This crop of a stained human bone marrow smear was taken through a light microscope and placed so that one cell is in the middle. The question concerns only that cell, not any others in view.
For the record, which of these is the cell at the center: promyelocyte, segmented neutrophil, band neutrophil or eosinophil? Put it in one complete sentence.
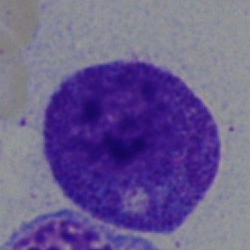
The cell centered in this field of view is a promyelocyte.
